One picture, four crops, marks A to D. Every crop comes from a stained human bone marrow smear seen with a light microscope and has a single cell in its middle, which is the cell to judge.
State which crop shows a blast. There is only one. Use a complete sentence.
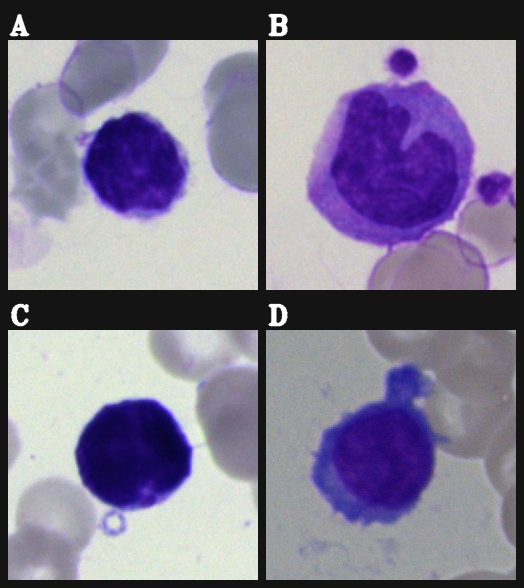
In this series, a blast is shown by crop C.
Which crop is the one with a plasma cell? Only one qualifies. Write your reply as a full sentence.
Of the labelled crops, the one that shows a plasma cell is crop D.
